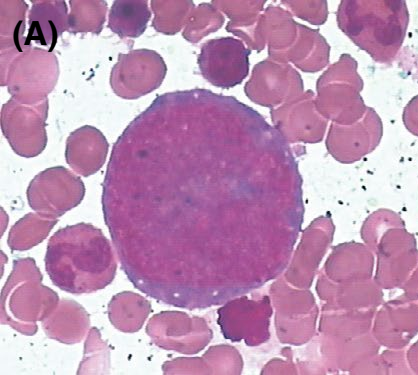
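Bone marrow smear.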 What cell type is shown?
Megakaryoblast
